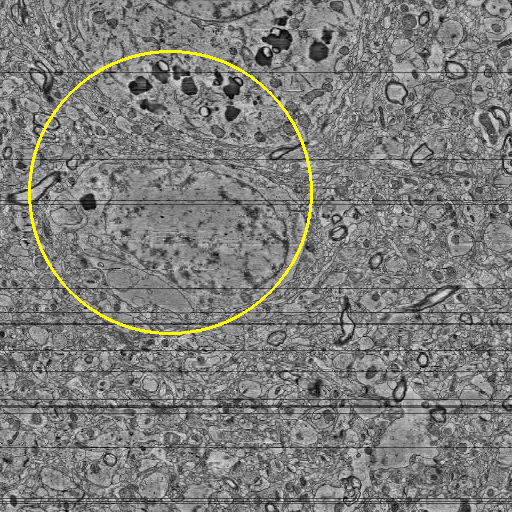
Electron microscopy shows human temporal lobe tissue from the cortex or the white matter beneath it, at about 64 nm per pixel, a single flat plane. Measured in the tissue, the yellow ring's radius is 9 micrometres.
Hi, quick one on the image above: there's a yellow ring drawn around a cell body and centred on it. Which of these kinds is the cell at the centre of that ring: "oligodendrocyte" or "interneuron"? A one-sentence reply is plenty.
The cell at the centre of the ring is an interneuron.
